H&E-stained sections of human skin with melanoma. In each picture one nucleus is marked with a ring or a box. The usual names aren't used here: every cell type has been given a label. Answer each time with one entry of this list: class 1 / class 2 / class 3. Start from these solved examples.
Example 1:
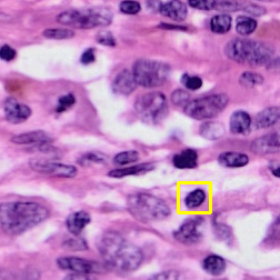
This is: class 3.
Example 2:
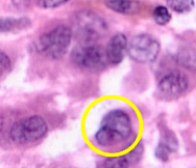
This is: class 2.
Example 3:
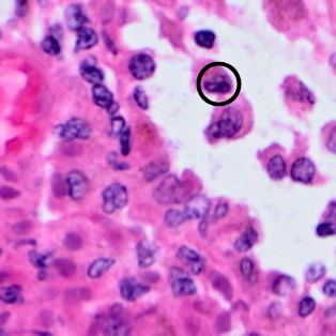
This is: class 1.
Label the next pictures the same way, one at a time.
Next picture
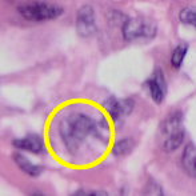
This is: class 2.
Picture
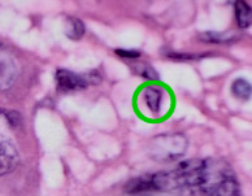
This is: class 1.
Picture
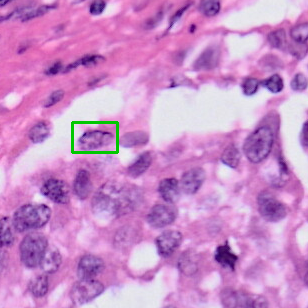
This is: class 1.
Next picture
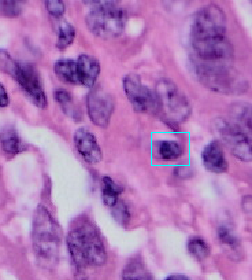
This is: class 3.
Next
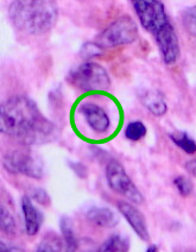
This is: class 1.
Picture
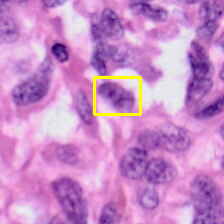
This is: class 2.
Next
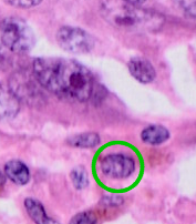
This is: class 1.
